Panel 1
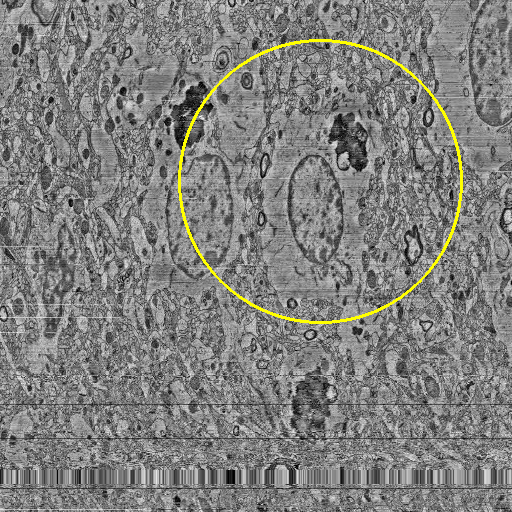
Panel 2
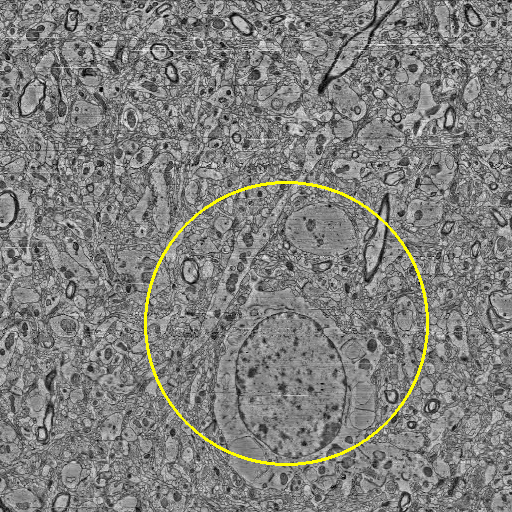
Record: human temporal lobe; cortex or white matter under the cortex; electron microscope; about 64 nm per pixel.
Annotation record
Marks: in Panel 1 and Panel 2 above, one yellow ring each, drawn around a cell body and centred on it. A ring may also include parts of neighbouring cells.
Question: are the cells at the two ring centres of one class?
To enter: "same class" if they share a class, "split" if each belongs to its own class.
same class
